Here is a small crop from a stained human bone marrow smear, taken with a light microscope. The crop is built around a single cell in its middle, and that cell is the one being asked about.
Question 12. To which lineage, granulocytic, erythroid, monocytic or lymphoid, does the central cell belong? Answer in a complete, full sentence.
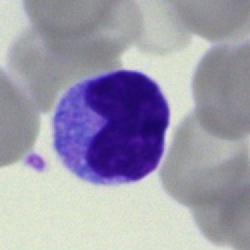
Regarding the central cell, its lineage is monocytic.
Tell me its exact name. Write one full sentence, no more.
In the middle of this smear crop is a monocyte.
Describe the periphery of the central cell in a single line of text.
Worth noting that the cell border is smooth and lacks projections.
